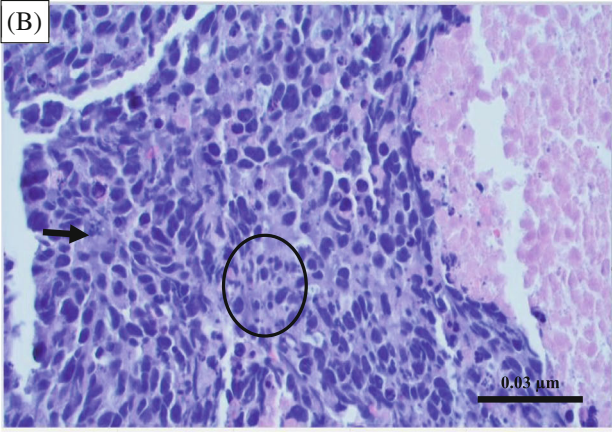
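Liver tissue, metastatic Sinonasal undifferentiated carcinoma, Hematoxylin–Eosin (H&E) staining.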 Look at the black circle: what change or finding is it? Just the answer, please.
Apoptosis.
